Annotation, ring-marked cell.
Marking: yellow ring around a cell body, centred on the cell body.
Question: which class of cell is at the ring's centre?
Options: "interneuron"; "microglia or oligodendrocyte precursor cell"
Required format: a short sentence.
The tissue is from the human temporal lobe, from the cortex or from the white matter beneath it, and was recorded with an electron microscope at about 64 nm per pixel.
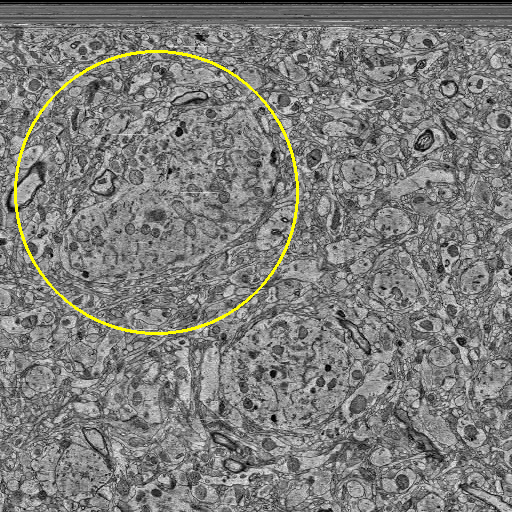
At the ring's centre is an interneuron.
